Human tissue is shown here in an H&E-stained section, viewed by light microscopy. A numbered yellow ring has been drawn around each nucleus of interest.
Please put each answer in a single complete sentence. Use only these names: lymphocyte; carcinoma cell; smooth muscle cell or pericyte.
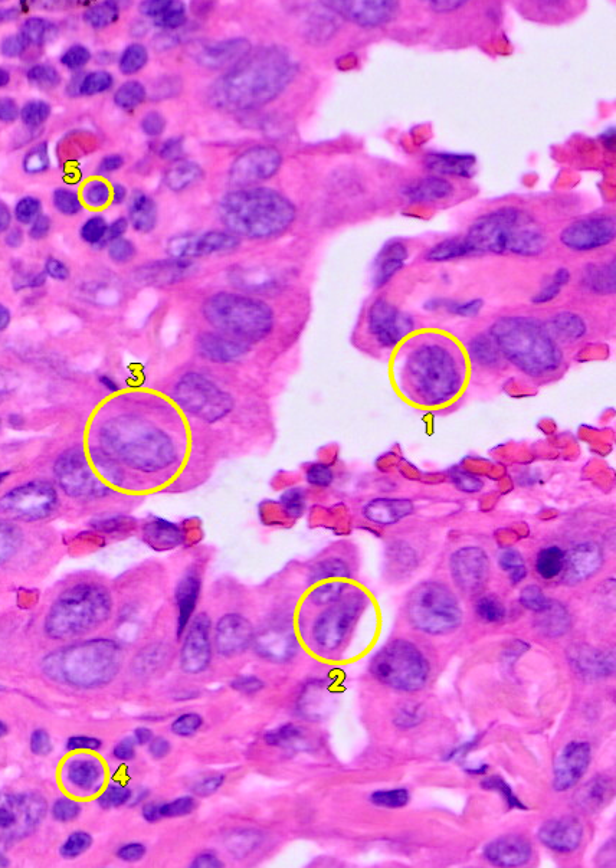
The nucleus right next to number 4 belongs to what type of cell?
It is a lymphocyte whose nucleus is nearest to number 4.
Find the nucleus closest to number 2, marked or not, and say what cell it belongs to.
The nearest nucleus to number 2 belongs to a carcinoma cell.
